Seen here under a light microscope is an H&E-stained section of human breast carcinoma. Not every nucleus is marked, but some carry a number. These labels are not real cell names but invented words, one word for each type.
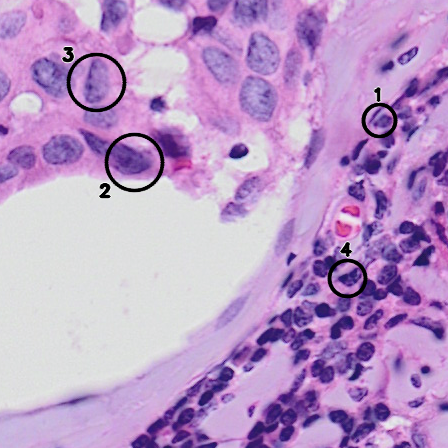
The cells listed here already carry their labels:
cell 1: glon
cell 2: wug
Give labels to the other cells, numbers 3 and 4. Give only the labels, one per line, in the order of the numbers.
wug
glon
